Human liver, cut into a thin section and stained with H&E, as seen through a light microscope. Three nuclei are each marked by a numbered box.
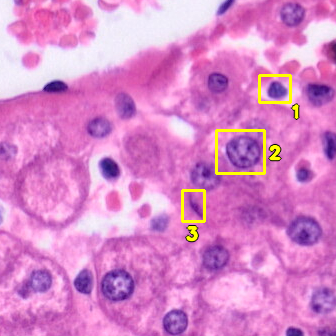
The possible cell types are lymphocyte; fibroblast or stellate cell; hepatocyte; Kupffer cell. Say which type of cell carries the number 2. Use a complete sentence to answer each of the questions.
Cell 2 in the field is a hepatocyte.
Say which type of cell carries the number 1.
The cell identified by number 1 is a lymphocyte.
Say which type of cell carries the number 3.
The cell that is numbered 3 is a fibroblast or stellate cell.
